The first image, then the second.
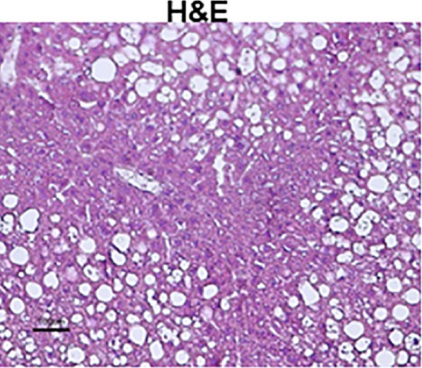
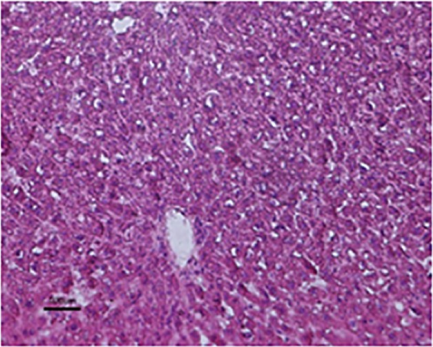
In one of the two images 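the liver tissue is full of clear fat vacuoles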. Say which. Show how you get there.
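Second image: the parenchyma is compact and pink with almost no clear vacuoles. First image: numerous round clear vacuoles of varying size fill much of the tissue.
Hence: the first image.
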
